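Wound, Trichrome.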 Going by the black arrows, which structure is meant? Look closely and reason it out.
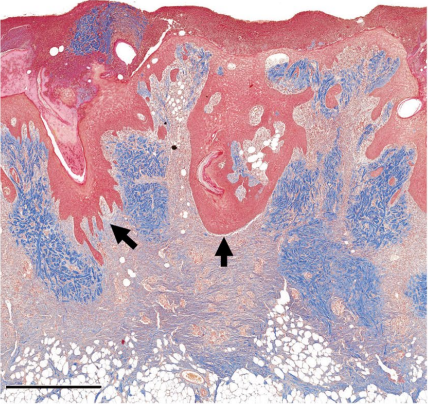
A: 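The arrows point at red-staining tongues of tissue reaching down into the blue-stained dermis. The red tissue is continuous with the red layer at the surface. The answer: Epidermal segments.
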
